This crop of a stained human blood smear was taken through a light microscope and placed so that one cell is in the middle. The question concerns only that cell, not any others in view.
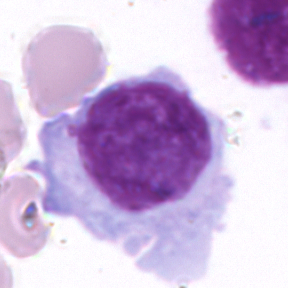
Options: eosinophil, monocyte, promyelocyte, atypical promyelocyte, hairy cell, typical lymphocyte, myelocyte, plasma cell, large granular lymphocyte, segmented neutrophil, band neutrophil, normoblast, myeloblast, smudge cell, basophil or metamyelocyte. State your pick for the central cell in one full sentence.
The cell at the centre of the field is a plasma cell.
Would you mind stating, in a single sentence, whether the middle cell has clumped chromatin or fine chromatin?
Heads up, the chromatin is fine with no coarse clumps in it.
